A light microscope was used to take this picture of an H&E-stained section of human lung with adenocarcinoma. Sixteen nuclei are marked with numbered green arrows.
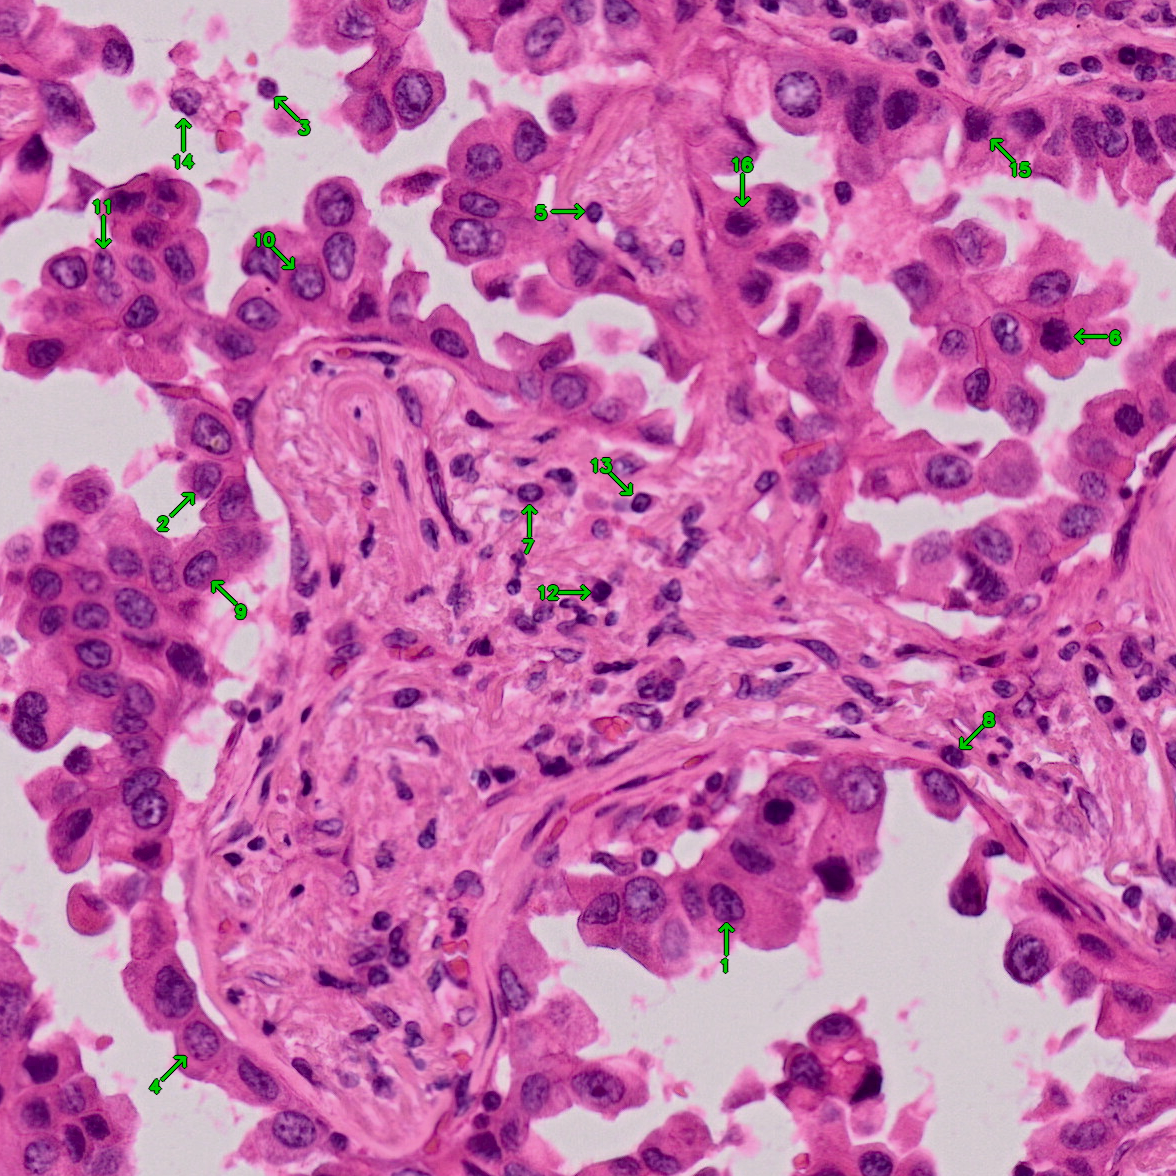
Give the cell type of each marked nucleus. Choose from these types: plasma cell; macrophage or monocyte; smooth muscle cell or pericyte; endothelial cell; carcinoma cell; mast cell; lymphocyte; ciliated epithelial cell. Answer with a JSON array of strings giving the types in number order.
["carcinoma cell", "carcinoma cell", "lymphocyte", "carcinoma cell", "lymphocyte", "carcinoma cell", "plasma cell", "plasma cell", "carcinoma cell", "carcinoma cell", "carcinoma cell", "plasma cell", "lymphocyte", "macrophage or monocyte", "carcinoma cell", "carcinoma cell"]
